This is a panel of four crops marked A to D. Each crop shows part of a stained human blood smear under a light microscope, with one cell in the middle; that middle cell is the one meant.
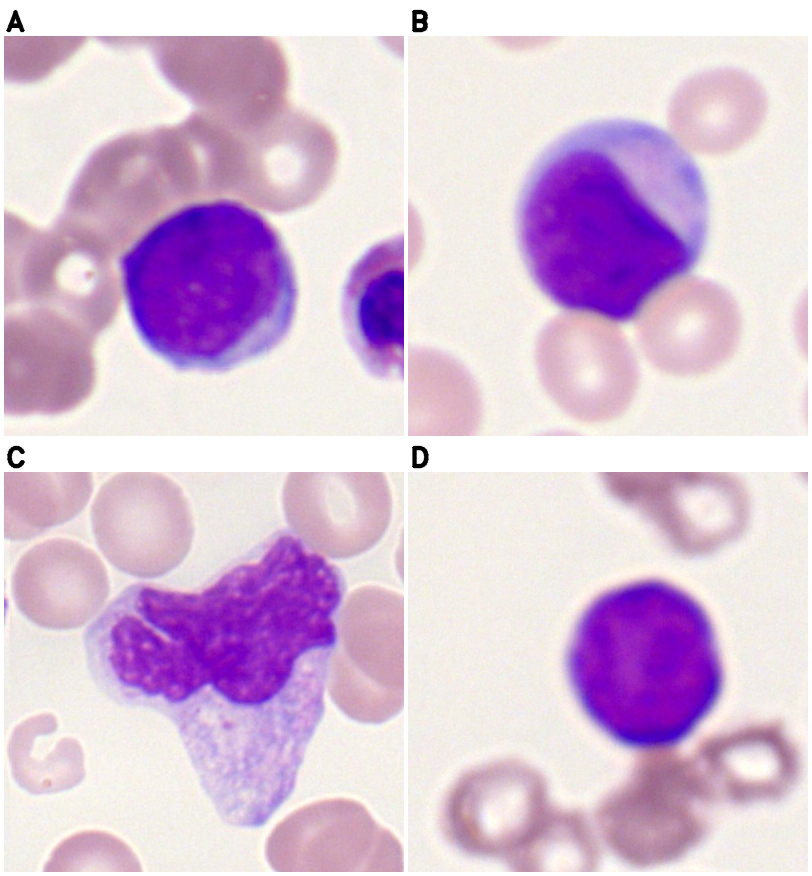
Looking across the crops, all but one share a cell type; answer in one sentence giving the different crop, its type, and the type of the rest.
A different cell type, a monocyte, occupies crop C; the other crops show myeloblasts.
